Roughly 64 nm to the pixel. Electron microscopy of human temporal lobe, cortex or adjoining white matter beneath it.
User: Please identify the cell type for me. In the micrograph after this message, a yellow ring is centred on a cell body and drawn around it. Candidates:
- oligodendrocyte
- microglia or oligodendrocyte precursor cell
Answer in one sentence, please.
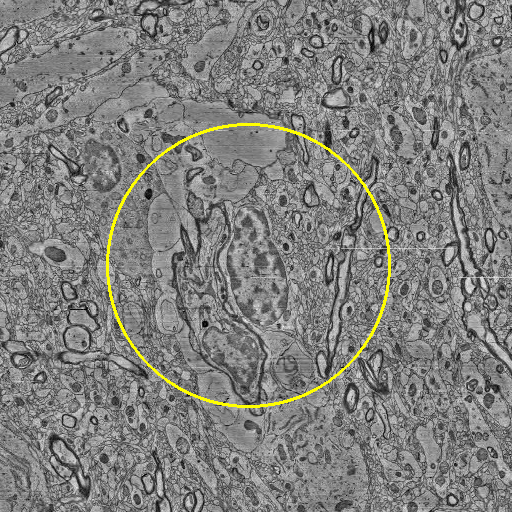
The ring is drawn around the cell body of a microglial cell or oligodendrocyte precursor cell.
